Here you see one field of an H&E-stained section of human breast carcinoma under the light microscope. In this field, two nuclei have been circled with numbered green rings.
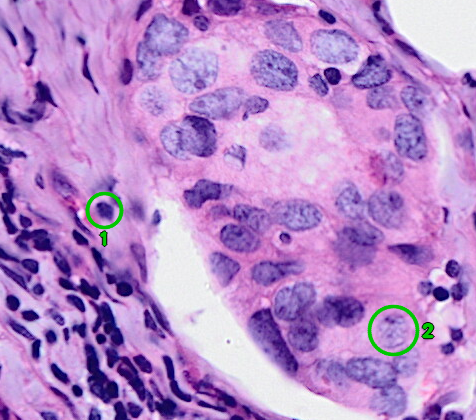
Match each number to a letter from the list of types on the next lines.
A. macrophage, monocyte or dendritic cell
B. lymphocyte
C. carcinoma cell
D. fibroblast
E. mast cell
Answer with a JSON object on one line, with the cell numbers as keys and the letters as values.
{"1": "B", "2": "C"}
